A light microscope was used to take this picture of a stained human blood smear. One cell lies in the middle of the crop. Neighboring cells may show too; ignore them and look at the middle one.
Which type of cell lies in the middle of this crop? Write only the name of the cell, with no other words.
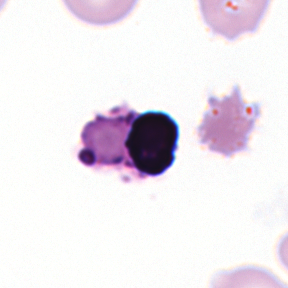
erythroblast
